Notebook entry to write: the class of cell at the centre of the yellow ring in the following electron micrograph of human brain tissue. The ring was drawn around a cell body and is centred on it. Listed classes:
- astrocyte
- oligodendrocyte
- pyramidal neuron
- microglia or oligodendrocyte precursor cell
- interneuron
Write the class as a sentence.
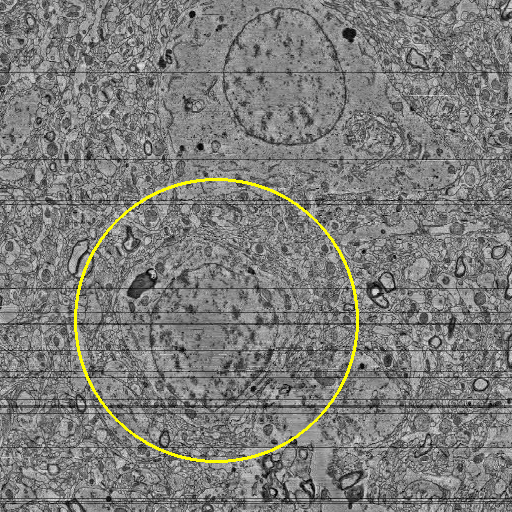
The yellow ring sits on an interneuron.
